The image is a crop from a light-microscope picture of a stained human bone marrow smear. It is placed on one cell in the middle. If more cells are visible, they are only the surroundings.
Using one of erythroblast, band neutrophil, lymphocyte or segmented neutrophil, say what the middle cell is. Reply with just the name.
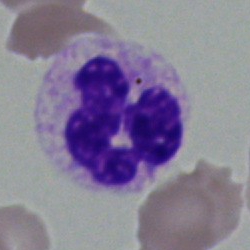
segmented neutrophil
